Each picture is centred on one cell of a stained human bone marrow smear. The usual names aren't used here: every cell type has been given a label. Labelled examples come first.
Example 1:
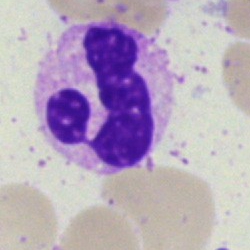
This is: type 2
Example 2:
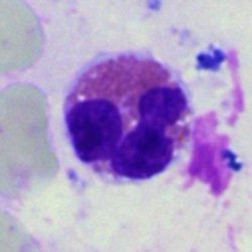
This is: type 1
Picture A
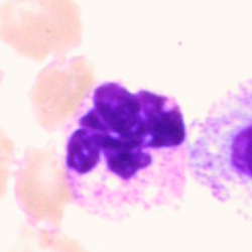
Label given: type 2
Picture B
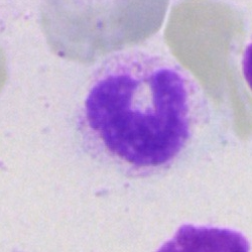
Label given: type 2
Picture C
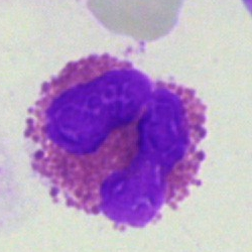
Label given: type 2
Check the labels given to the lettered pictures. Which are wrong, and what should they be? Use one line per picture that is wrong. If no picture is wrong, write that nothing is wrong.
C: not type 2 but type 1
